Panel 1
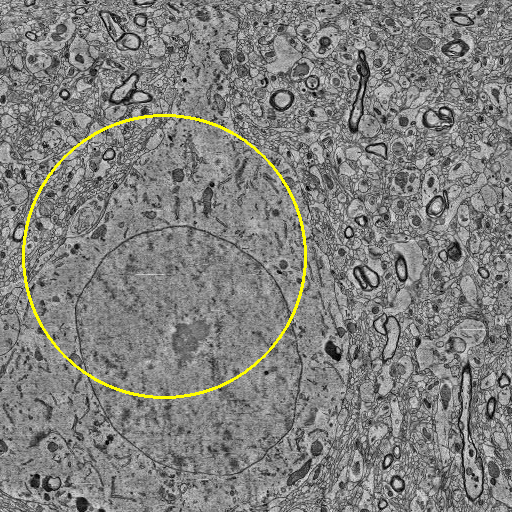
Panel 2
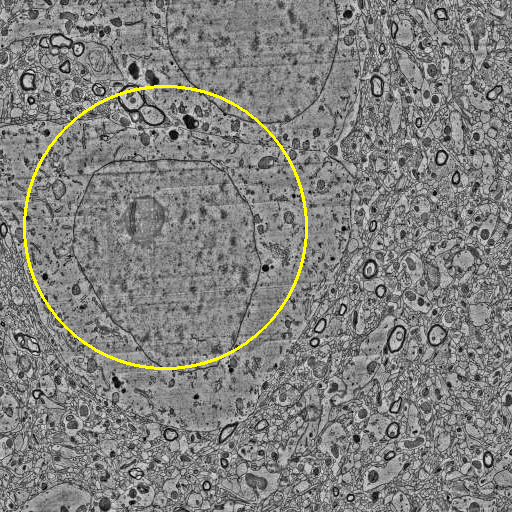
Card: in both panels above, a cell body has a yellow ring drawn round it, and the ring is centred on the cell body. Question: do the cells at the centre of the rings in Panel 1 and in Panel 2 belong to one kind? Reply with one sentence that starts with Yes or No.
Yes, the cells centred in the rings of Panel 1 and Panel 2 are one kind of cell.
